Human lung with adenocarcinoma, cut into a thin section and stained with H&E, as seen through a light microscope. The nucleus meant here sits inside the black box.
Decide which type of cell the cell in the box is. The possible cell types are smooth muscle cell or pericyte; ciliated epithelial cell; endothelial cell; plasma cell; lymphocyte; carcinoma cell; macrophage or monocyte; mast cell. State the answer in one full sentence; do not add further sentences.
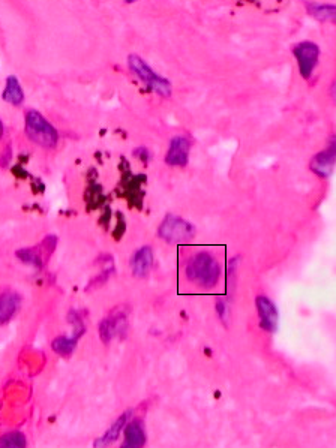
In short, the cell in the box on this section is a plasma cell.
